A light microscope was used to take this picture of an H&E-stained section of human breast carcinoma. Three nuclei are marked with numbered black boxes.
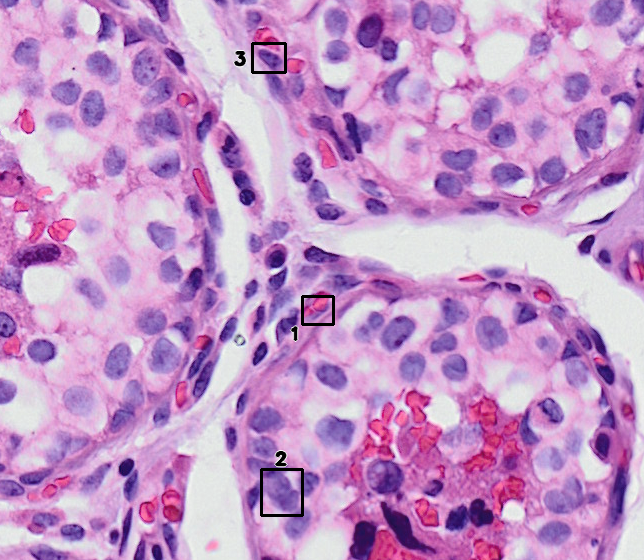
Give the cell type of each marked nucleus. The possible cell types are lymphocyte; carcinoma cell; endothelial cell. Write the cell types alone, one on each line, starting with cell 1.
endothelial cell
carcinoma cell
endothelial cell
